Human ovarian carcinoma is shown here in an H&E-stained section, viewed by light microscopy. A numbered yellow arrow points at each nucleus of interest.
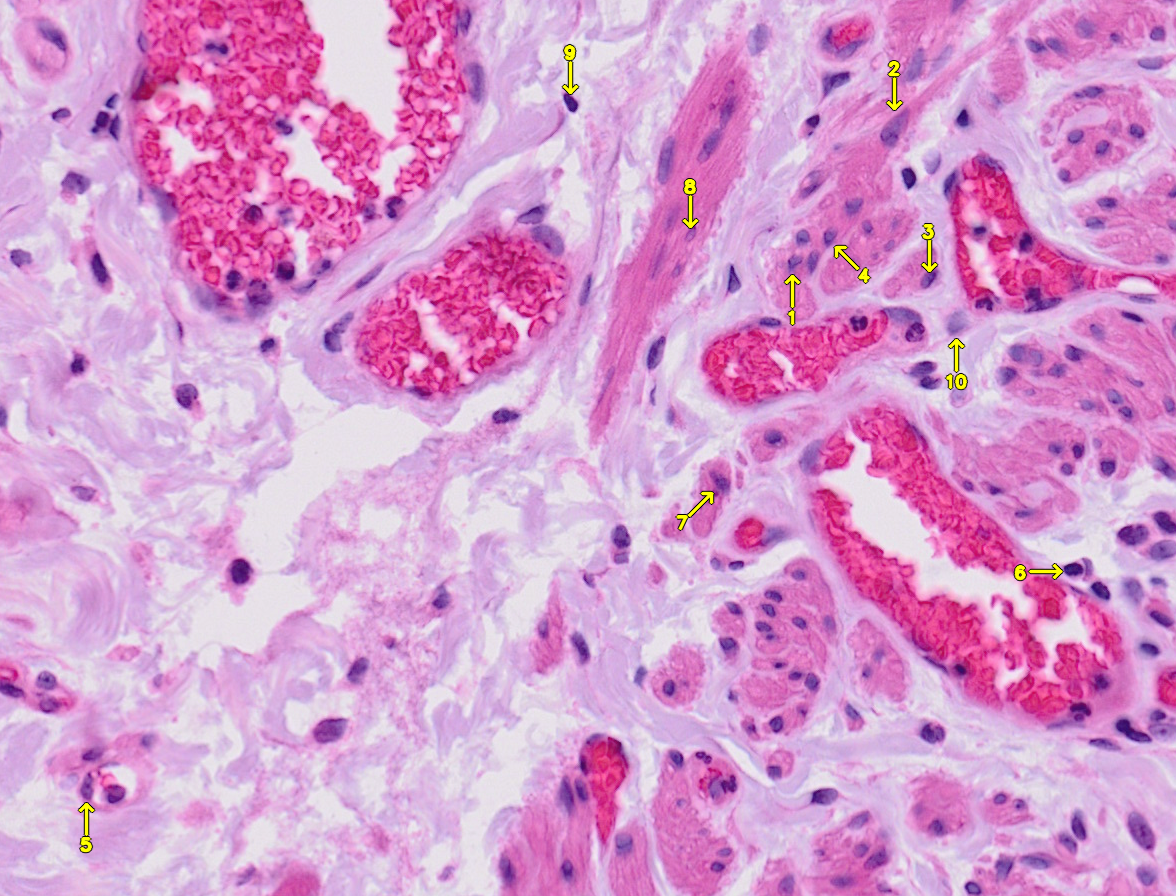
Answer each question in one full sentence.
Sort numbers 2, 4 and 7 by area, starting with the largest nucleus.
Largest first, the order by area is 2, 7, 4.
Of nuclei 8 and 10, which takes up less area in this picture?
Number 8 is smaller, since number 10 takes up about 4 times as much area.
